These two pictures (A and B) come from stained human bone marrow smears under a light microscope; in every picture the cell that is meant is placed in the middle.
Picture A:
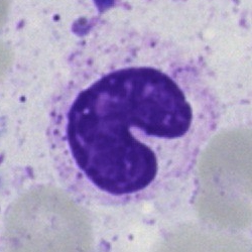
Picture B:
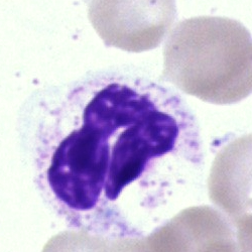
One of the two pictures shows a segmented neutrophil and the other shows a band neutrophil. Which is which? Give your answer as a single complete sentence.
Picture A shows a band neutrophil and picture B shows a segmented neutrophil.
